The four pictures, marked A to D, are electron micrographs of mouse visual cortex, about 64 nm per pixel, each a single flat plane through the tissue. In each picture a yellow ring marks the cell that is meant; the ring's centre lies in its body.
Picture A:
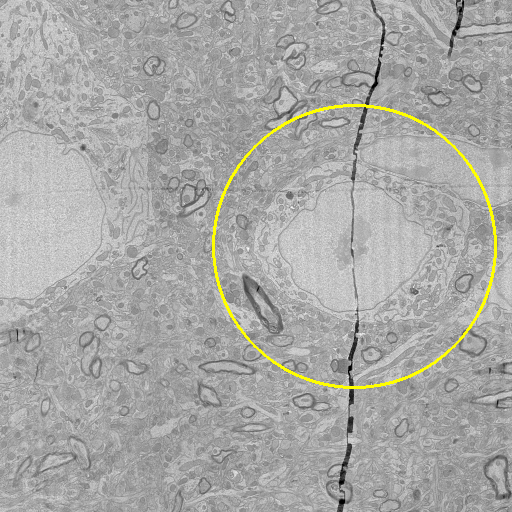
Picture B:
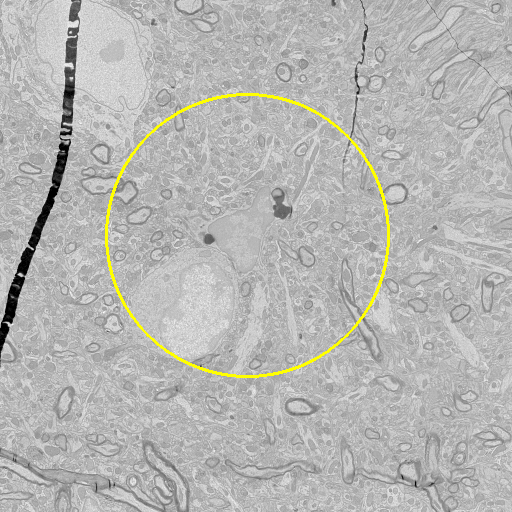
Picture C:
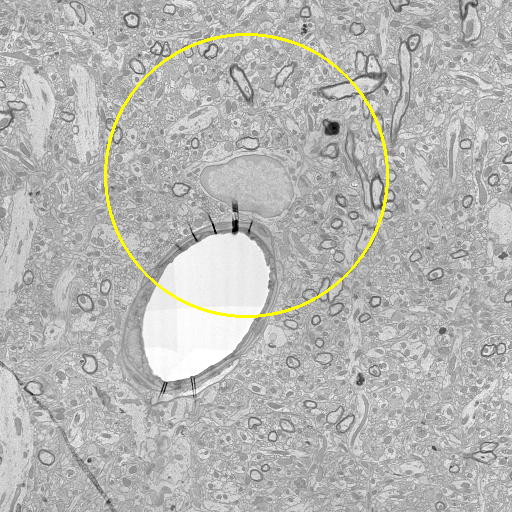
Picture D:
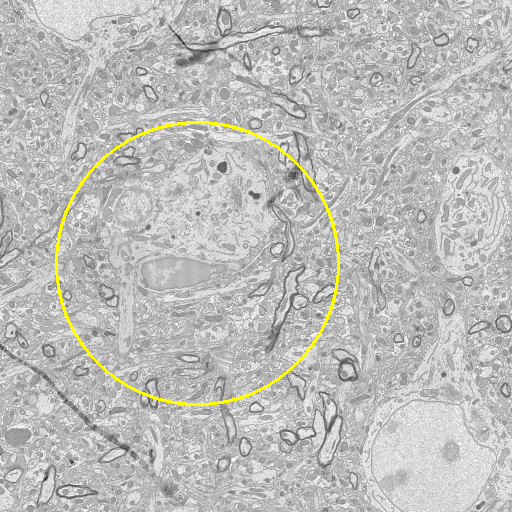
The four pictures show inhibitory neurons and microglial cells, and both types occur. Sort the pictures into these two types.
Picture A shows an inhibitory neuron; pictures B, C and D show microglial cells.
